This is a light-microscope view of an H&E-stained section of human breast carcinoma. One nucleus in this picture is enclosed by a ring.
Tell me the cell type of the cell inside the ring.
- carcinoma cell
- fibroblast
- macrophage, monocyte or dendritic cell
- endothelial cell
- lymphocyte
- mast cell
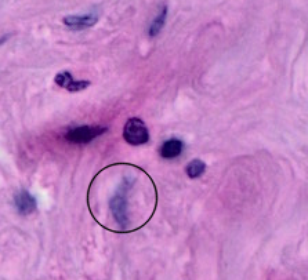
fibroblast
